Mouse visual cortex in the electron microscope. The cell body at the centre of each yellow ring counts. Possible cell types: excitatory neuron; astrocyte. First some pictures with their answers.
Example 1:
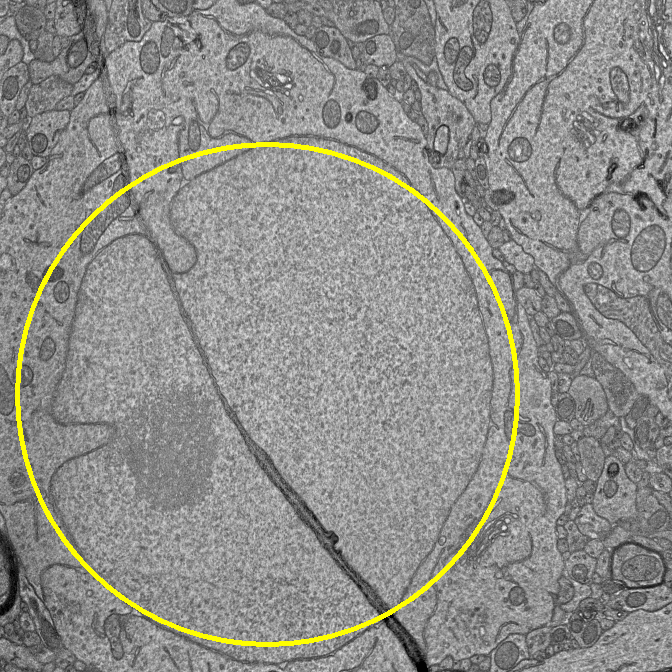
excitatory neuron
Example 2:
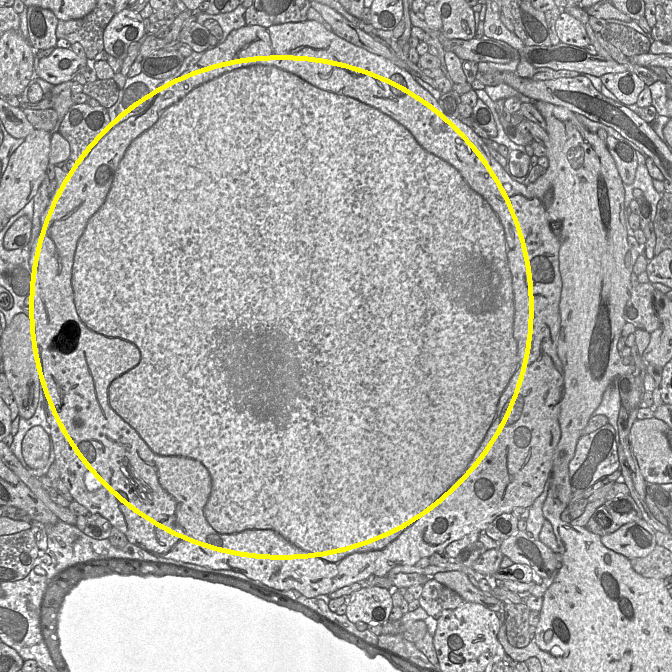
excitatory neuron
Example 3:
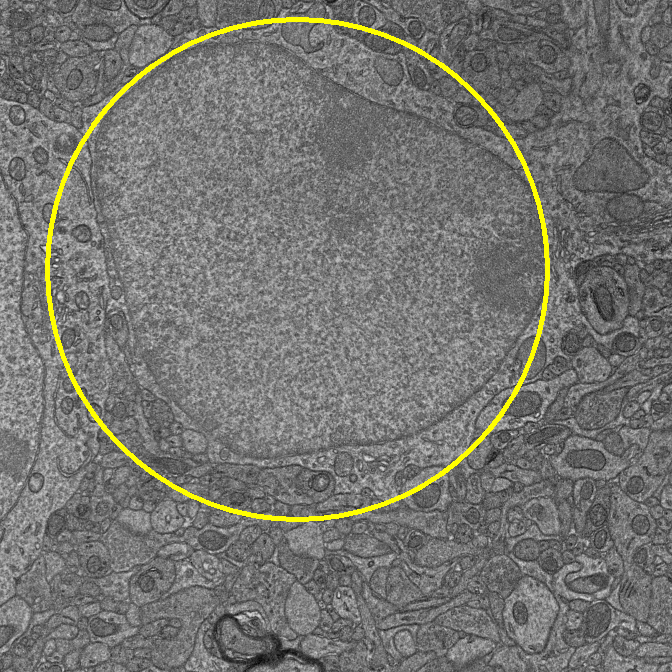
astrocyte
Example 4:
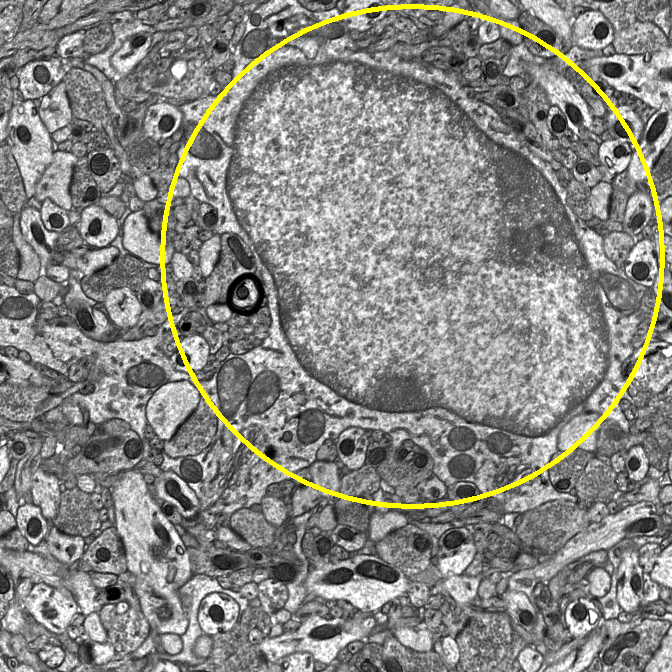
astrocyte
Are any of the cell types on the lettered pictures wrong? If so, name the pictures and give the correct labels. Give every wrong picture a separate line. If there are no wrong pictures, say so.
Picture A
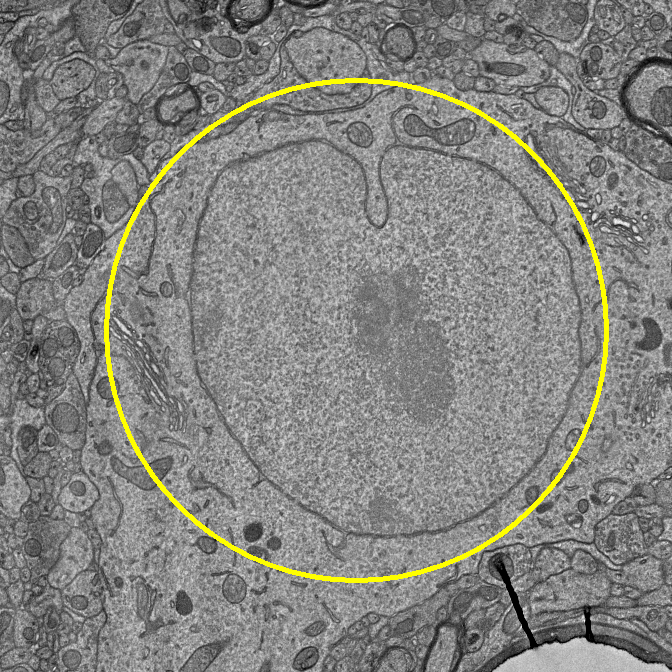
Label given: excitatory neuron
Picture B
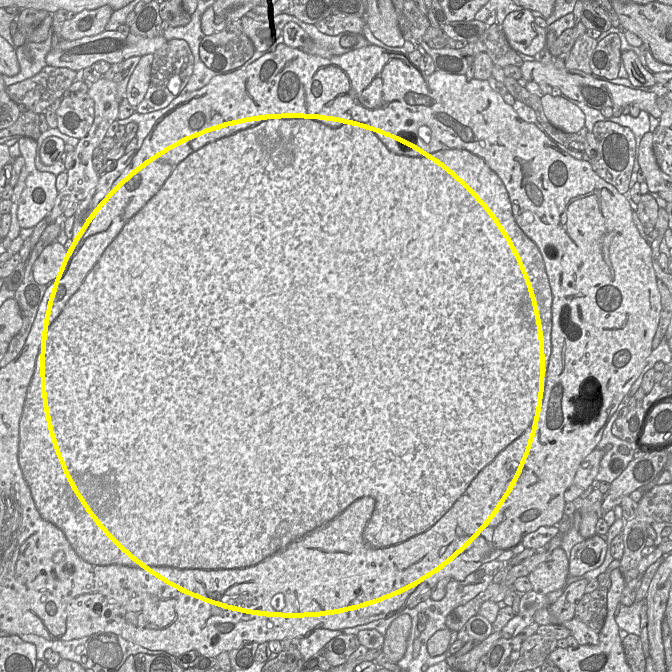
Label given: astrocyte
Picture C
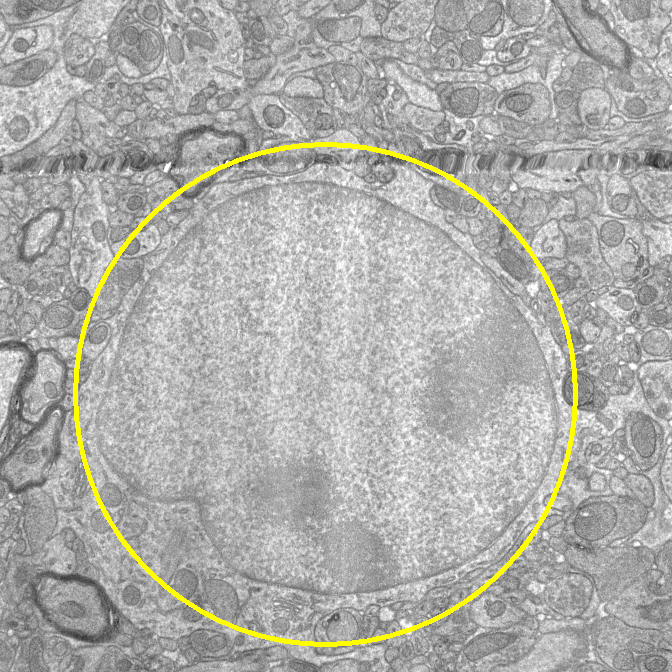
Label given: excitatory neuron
B should be excitatory neuron, not astrocyte
C should be astrocyte, not excitatory neuron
